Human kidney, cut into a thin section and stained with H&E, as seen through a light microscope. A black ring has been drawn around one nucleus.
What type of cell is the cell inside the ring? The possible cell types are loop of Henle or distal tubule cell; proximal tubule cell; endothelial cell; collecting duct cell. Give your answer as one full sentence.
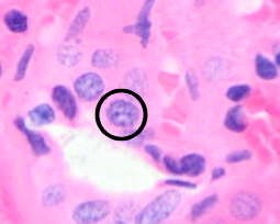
The identity of the cell inside the ring: it is a collecting duct cell.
